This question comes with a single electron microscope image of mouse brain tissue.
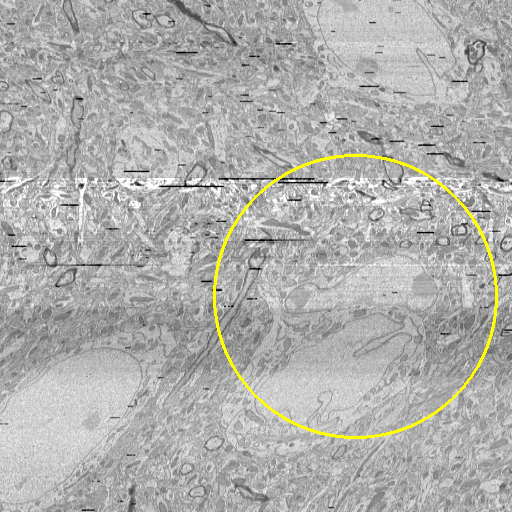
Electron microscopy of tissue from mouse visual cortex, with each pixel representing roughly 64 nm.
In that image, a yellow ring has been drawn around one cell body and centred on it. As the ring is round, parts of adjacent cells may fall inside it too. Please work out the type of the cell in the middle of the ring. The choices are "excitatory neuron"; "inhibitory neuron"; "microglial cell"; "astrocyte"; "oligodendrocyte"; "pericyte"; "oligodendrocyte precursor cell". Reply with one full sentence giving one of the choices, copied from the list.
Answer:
Of the choices, an oligodendrocyte precursor cell is the cell sitting in the middle of the ring.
